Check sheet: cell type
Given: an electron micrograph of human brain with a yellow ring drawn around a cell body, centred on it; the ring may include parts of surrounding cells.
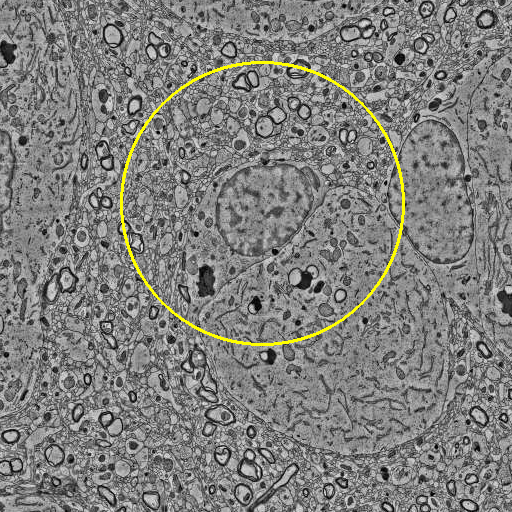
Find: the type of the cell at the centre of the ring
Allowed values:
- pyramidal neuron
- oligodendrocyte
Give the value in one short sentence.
Here the ringed cell is an oligodendrocyte.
